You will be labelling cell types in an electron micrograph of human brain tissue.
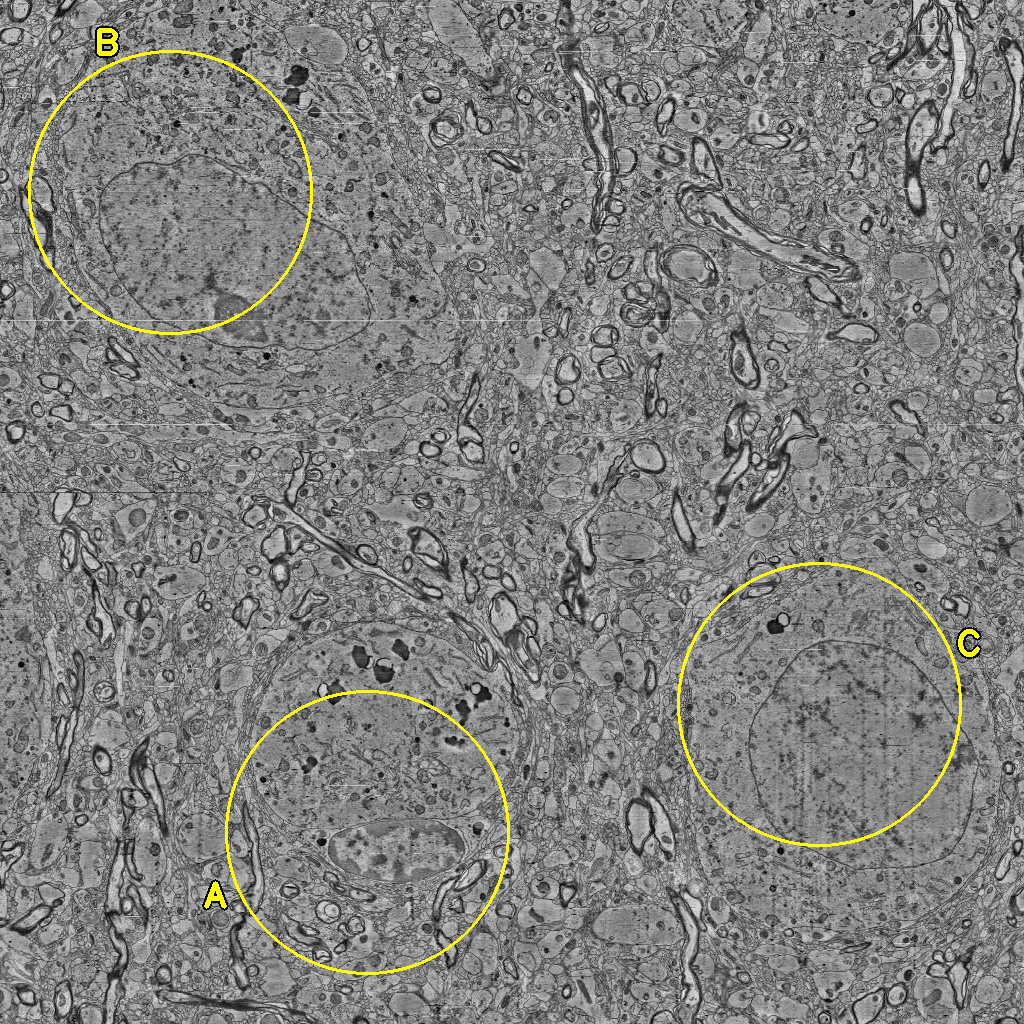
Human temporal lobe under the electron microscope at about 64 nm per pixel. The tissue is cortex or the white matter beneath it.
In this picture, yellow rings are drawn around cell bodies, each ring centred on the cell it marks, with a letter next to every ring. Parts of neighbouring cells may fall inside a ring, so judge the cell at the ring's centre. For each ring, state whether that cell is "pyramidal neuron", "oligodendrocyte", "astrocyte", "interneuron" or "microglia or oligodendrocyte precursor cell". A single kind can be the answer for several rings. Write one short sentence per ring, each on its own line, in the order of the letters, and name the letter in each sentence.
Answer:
Ring A contains a microglial cell or oligodendrocyte precursor cell at its centre.
Ring B contains a pyramidal neuron at its centre.
Ring C contains a pyramidal neuron at its centre.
